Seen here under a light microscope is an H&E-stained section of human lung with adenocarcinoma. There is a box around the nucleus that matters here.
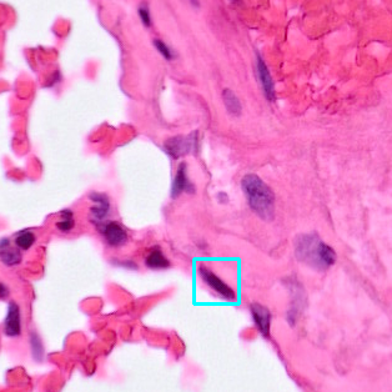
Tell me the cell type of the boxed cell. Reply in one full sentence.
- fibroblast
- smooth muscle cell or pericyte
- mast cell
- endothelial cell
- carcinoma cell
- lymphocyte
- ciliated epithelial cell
Among the cells in this section, the boxed cell is an endothelial cell.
